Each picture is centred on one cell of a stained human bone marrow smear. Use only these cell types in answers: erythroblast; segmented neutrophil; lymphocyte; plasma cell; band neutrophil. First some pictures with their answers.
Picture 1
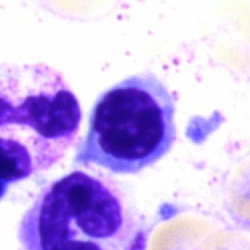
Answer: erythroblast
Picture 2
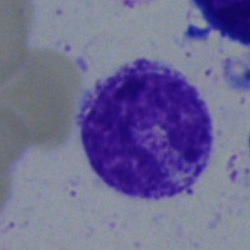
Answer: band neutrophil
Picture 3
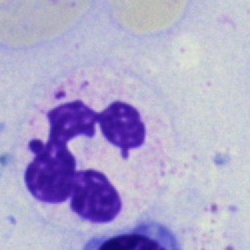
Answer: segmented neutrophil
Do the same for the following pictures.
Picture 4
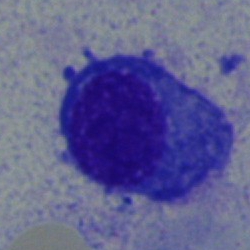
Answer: plasma cell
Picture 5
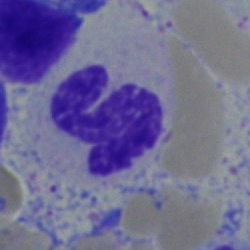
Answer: band neutrophil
